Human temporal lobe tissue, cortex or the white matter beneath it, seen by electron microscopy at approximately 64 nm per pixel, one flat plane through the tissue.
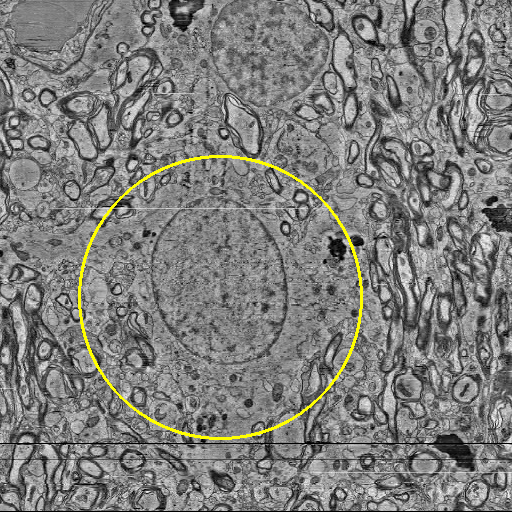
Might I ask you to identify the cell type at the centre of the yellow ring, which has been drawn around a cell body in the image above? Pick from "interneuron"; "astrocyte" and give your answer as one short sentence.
The centre of the ring falls on an astrocyte.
